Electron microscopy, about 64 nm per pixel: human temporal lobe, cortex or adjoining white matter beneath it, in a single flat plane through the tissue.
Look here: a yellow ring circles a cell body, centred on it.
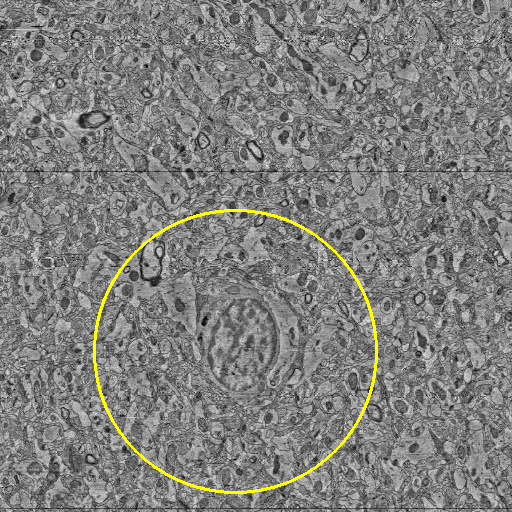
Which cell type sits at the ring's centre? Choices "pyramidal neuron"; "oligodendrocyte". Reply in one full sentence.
The cell at the centre of the yellow ring in the picture is an oligodendrocyte.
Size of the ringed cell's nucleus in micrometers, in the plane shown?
The nucleus measures about 6 by 4 micrometres in this plane.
